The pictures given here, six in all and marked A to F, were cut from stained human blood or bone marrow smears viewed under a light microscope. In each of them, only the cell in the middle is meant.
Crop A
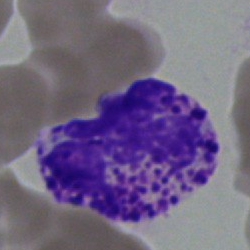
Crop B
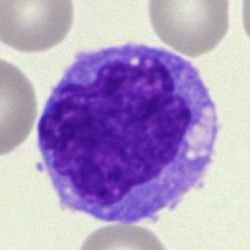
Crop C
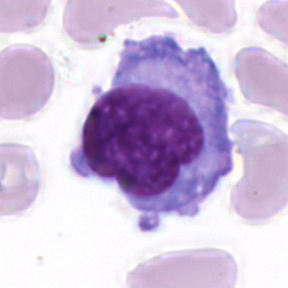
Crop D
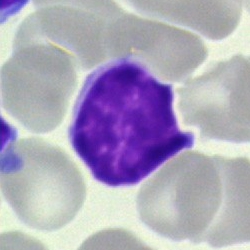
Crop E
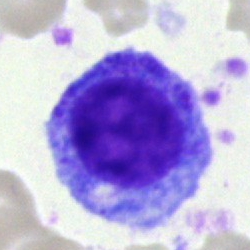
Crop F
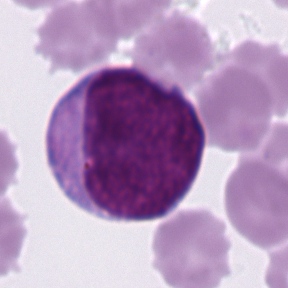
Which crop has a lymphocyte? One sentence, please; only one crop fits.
It is crop D, not any other, that shows a lymphocyte.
